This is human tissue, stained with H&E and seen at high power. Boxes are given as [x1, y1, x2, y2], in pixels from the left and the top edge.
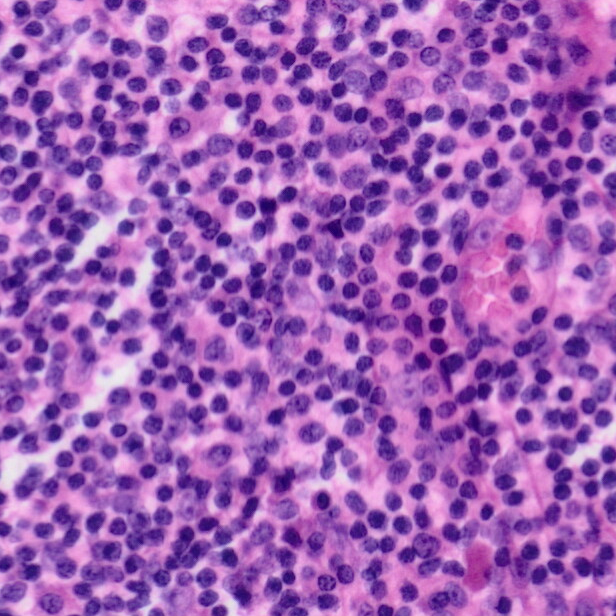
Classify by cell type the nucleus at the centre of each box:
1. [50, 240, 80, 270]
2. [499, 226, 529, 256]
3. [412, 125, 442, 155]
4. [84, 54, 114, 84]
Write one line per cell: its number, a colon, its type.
1: small lymphocyte
2: endothelial cell
3: small lymphocyte
4: small lymphocyte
